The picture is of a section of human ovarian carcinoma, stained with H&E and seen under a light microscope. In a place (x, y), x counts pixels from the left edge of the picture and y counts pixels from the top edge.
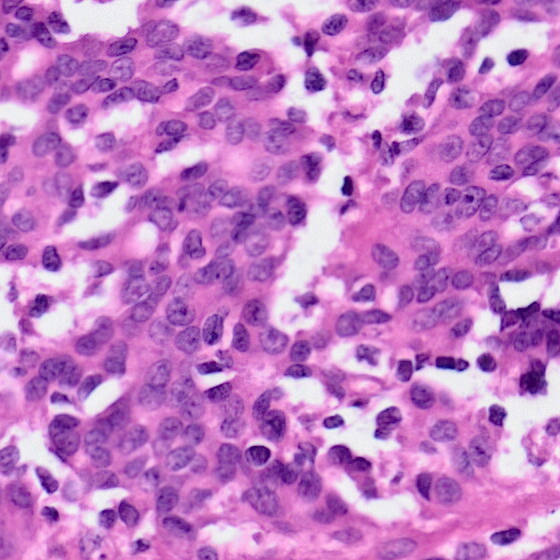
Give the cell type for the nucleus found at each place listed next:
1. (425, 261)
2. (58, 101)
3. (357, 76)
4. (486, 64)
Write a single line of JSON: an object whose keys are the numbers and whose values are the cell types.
{"1": "carcinoma cell", "2": "carcinoma cell", "3": "macrophage or monocyte", "4": "carcinoma cell"}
